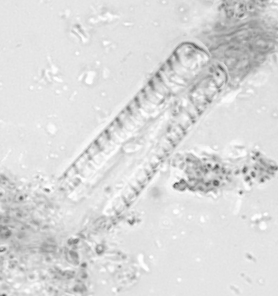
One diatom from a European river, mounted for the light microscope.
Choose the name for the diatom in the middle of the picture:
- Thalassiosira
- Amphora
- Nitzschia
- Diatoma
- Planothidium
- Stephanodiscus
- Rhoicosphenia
Diatoma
